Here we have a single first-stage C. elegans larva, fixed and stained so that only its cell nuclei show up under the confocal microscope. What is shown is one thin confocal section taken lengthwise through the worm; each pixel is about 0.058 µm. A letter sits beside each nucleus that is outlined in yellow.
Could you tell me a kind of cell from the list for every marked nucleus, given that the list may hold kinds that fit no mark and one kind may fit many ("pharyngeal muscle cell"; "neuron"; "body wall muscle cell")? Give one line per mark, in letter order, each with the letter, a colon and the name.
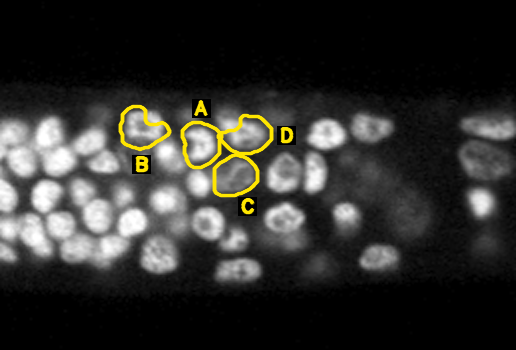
A: neuron
B: body wall muscle cell
C: pharyngeal muscle cell
D: body wall muscle cell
